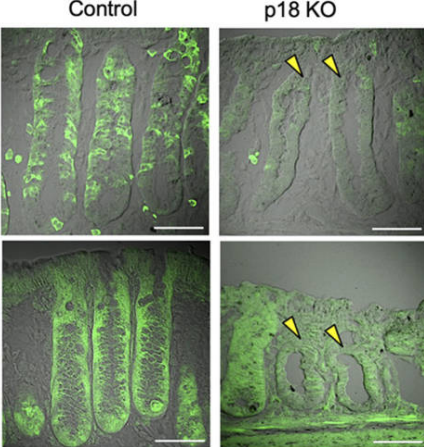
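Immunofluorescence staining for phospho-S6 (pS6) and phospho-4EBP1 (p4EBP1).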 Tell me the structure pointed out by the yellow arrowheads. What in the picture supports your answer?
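Crypts. The arrowheads point at the tops of elongated tubular glands. The glands stand side by side perpendicular to the surface.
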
